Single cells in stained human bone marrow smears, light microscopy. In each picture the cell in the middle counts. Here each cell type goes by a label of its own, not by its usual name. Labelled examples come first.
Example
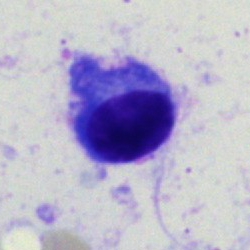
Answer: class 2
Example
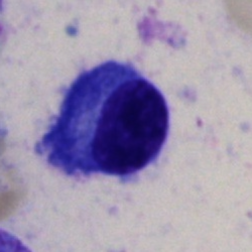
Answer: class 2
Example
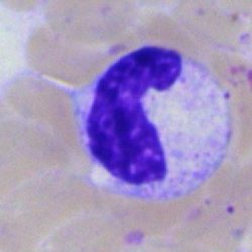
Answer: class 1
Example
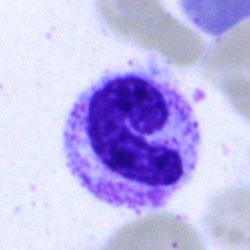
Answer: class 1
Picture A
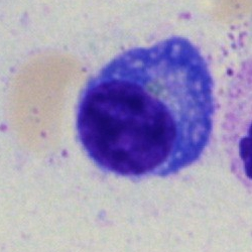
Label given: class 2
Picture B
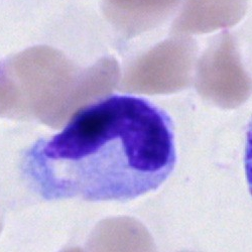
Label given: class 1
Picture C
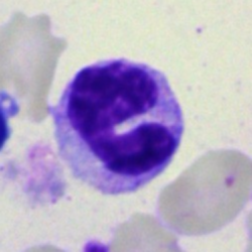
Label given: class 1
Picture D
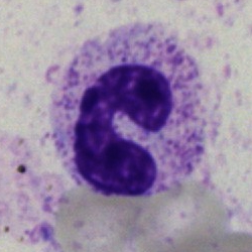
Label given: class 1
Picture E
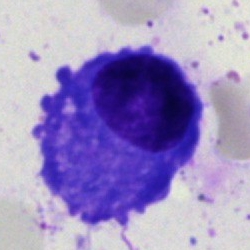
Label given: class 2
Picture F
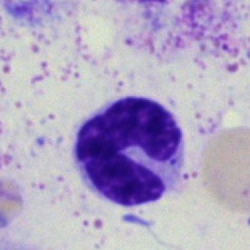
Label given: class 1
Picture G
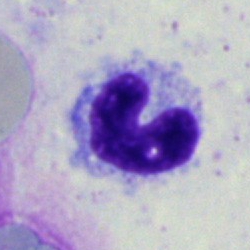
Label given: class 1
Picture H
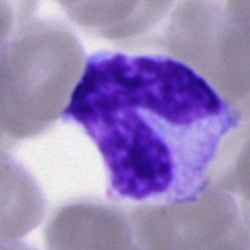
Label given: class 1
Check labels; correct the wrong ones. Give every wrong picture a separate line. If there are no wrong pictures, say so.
All correct.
